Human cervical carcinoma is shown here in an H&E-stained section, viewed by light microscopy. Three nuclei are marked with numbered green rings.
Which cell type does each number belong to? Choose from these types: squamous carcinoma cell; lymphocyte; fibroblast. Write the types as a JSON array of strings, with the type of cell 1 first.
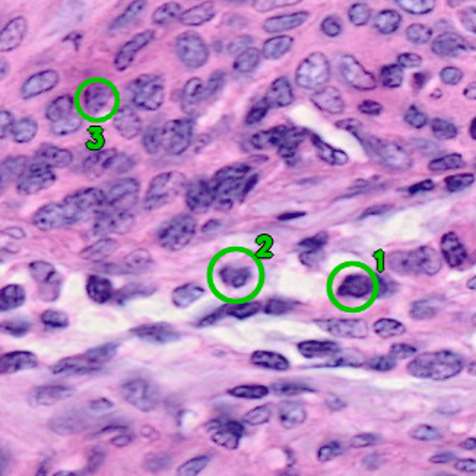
["lymphocyte", "lymphocyte", "squamous carcinoma cell"]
